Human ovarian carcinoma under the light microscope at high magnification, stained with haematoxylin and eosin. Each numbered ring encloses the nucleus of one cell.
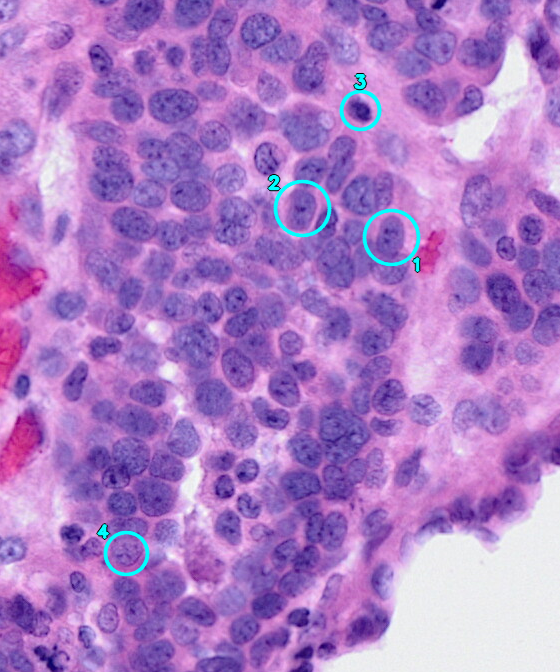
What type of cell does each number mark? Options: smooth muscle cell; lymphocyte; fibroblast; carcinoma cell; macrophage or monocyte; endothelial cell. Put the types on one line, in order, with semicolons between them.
carcinoma cell; carcinoma cell; lymphocyte; carcinoma cell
